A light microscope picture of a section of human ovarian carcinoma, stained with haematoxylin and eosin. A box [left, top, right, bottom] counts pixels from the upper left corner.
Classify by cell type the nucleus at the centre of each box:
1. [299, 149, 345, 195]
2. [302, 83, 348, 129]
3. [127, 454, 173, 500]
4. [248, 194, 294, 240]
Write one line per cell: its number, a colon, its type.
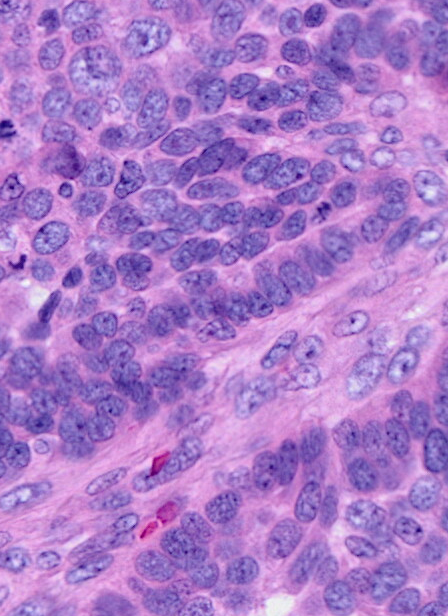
1: carcinoma cell
2: carcinoma cell
3: endothelial cell
4: carcinoma cell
